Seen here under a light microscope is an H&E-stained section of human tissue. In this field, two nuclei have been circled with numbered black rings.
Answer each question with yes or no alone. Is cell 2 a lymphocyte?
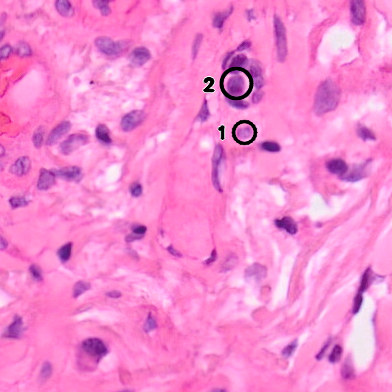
yes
